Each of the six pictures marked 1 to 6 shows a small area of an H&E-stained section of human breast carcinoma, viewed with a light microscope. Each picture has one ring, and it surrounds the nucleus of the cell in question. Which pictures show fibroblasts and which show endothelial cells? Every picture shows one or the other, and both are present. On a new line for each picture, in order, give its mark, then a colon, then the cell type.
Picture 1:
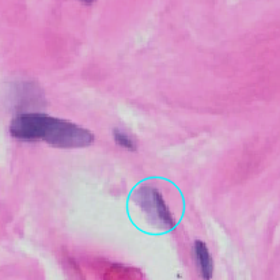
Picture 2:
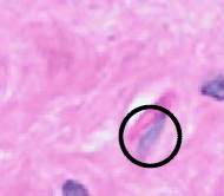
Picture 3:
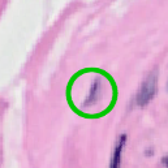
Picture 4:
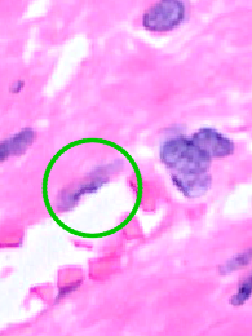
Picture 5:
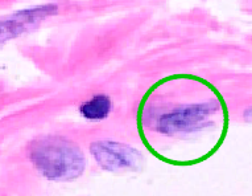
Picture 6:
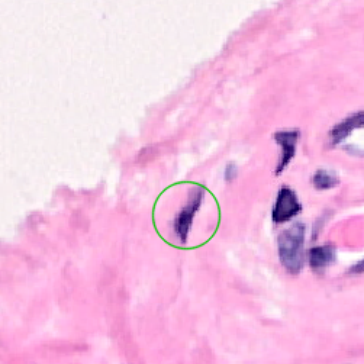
1: endothelial cell
2: endothelial cell
3: fibroblast
4: endothelial cell
5: endothelial cell
6: fibroblast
